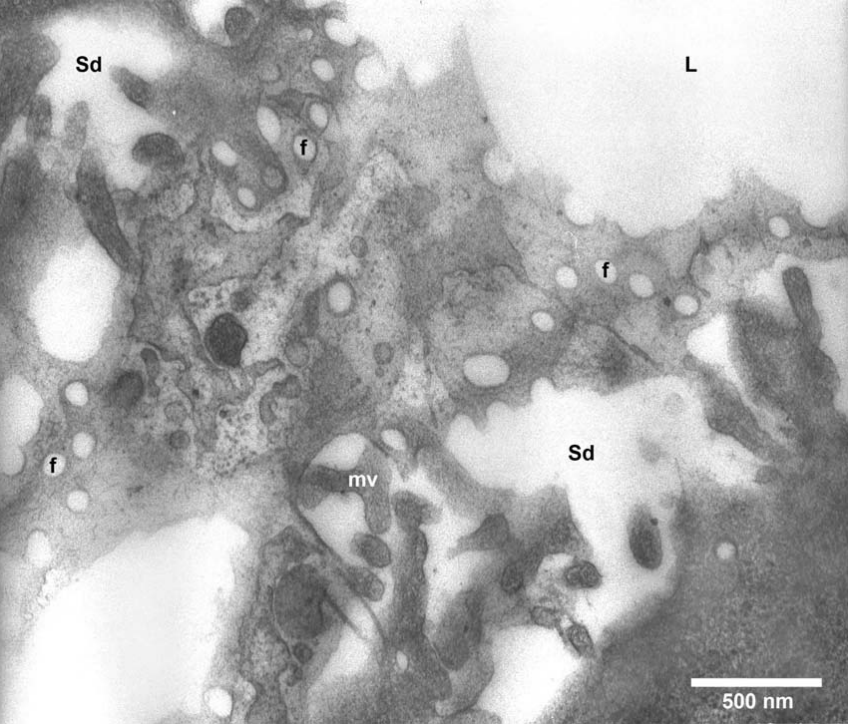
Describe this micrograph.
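This is the thin endothelial lining of a liver sinusoid, cut obliquely so that we look across the flat sheet of endothelial cytoplasm rather than through its edge. The grey cytoplasm is pierced by many small, round, pale holes, the fenestrae, which gather in clusters called sieve plates. At the top right is the empty, pale lumen of the sinusoid. On either side, below the lining, lie pale gaps, the space of Disse, into which a few slender finger-like microvilli project from the liver parenchymal cells. The dense, finely granular cytoplasm of a parenchymal cell fills the bottom right corner.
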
